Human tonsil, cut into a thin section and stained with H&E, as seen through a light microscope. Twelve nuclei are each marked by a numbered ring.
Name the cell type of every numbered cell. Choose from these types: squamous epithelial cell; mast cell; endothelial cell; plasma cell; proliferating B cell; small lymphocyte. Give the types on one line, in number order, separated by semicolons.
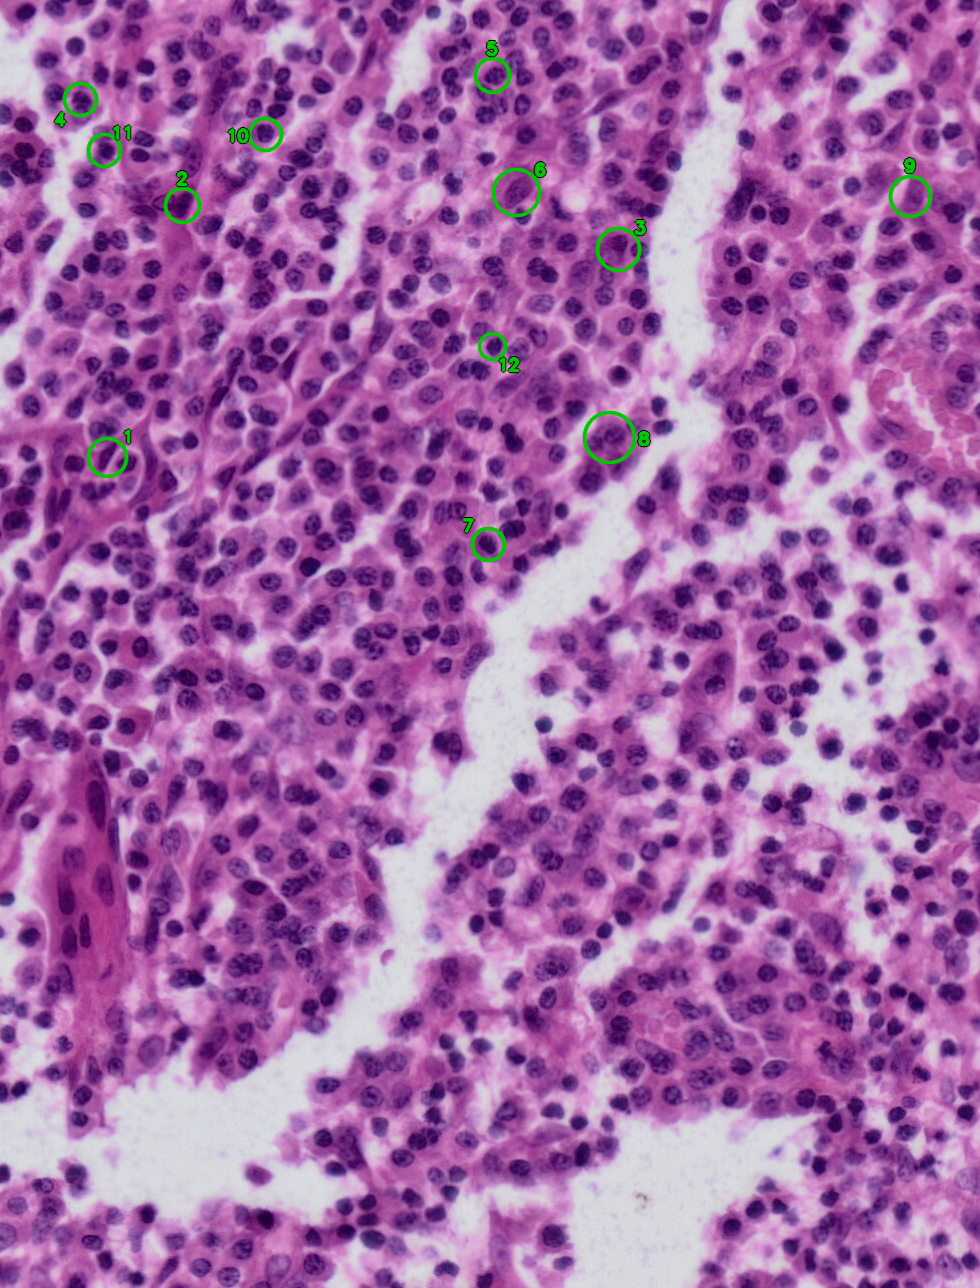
squamous epithelial cell; squamous epithelial cell; squamous epithelial cell; plasma cell; plasma cell; squamous epithelial cell; plasma cell; squamous epithelial cell; squamous epithelial cell; plasma cell; plasma cell; plasma cell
